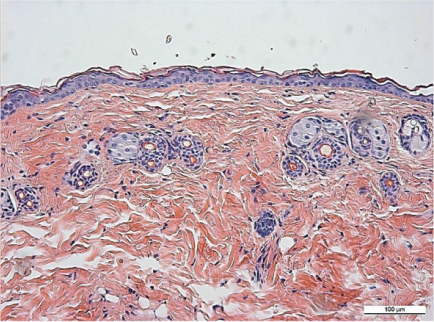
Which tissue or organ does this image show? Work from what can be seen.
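A thin stratified cell layer covers the surface. Below it lies pink fibrous connective tissue. Round follicle-like epithelial profiles lie in the pink connective tissue.
Skin.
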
